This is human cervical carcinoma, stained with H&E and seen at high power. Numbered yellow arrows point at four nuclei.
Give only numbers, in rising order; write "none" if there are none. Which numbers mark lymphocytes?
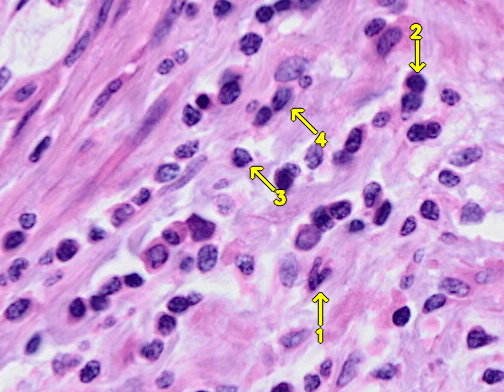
2, 3, 4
